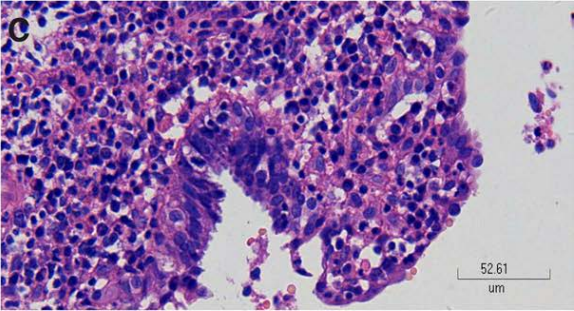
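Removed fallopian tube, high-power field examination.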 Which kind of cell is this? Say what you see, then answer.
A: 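Lymphoid cells. Dense sheets of small round cells with dark round nuclei and scant cytoplasm. These small round cells crowd into and around a strip of columnar epithelium.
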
